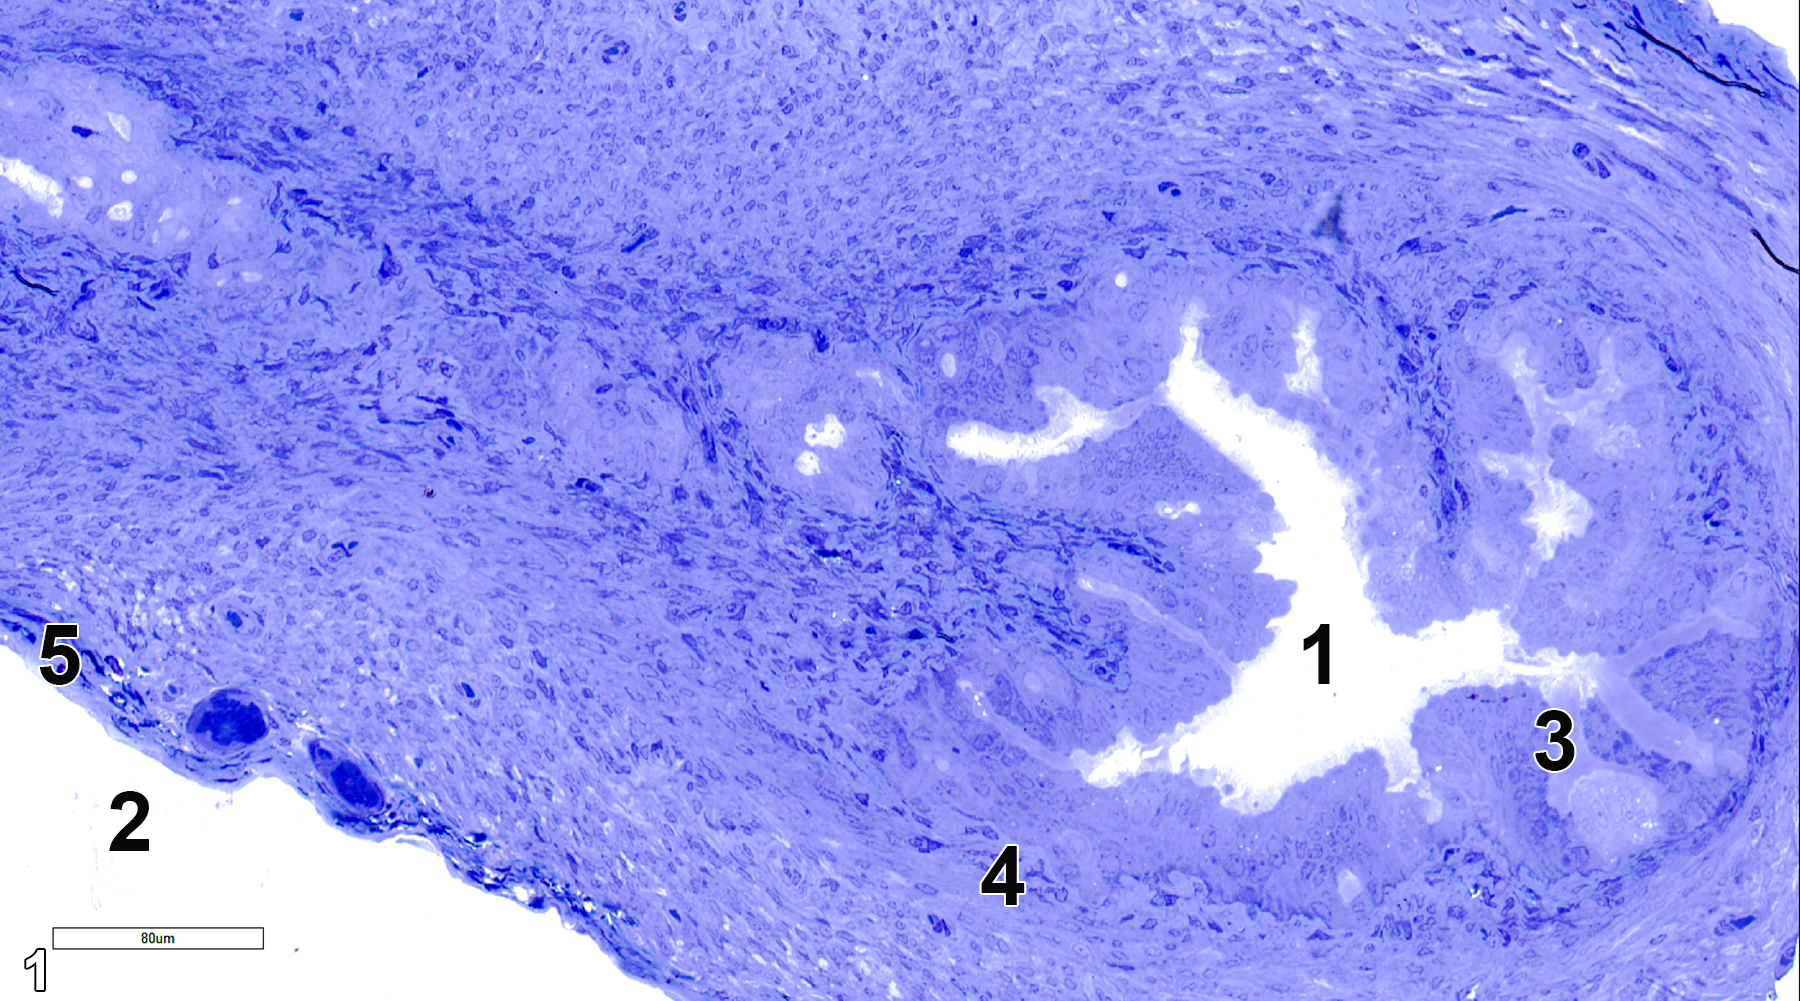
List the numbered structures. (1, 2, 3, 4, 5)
1: oviduct lumen
2: peritoneal cavity
3: columnar epithelium
4: muscularis
5: serosa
